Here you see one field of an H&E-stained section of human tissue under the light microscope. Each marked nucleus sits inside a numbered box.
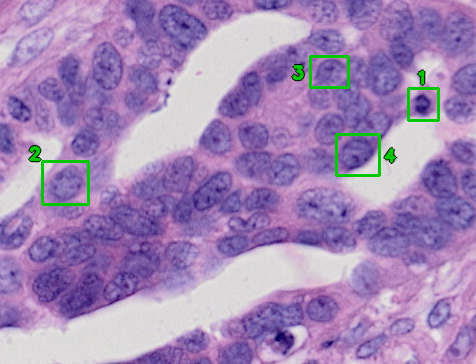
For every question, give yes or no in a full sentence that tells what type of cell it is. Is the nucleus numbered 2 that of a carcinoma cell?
Yes, in the section, number 2 is a carcinoma cell.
